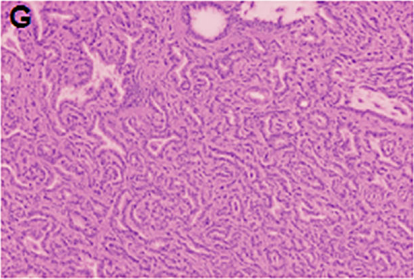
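This is a gland-forming carcinoma in which crowded, irregular glands, or acini, fill most of the field. Each gland is a small space lined by a single or stratified layer of epithelial cells with purple nuclei. The glands are back to back with little stroma between them and vary in shape, some being branched or angular. Pale pink lumens are visible in many of them. Toward the upper edge, a few larger spaces are seen. The overall pattern is that of an adenocarcinoma with a predominantly acinar growth.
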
